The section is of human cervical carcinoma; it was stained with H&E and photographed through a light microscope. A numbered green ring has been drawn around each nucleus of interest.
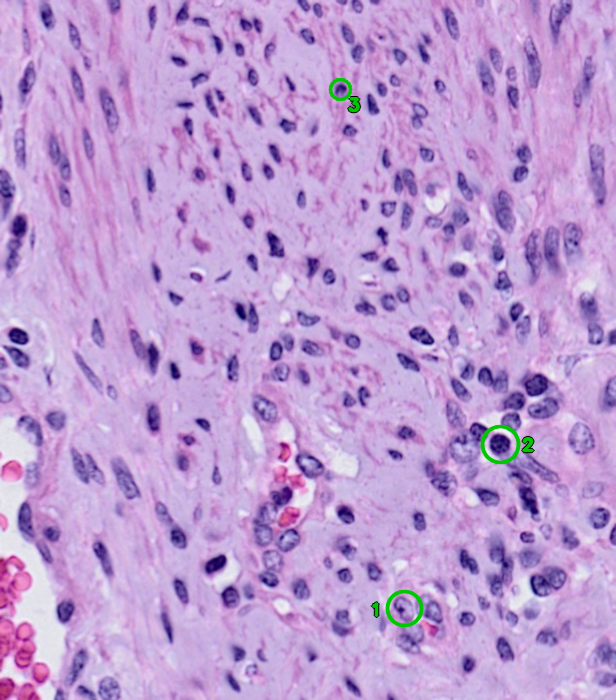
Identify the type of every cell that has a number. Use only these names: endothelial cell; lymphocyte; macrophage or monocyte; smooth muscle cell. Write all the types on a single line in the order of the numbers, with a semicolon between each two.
endothelial cell; lymphocyte; smooth muscle cell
